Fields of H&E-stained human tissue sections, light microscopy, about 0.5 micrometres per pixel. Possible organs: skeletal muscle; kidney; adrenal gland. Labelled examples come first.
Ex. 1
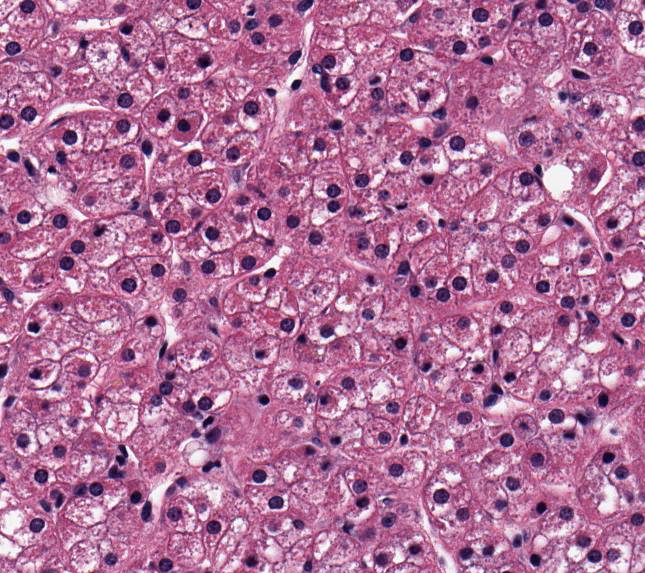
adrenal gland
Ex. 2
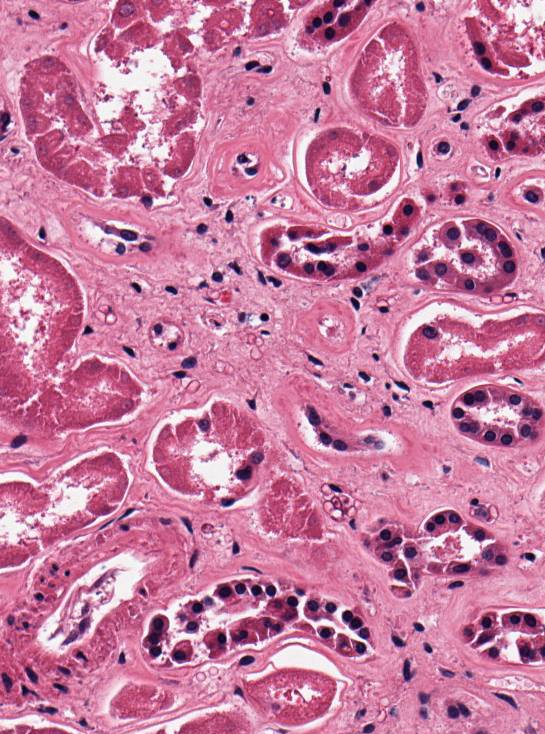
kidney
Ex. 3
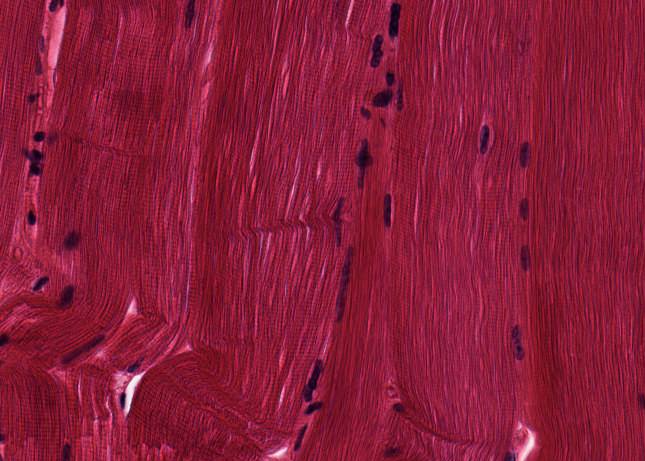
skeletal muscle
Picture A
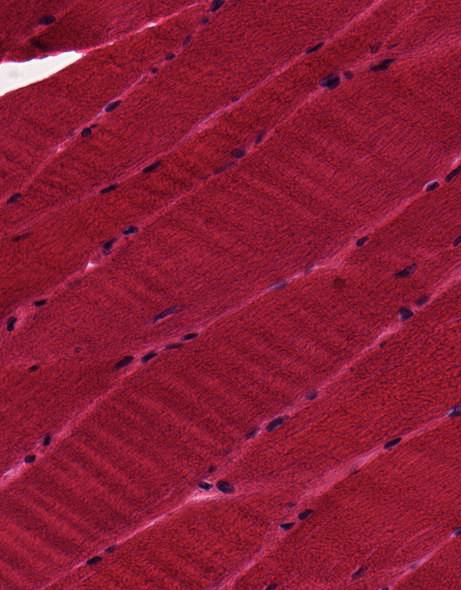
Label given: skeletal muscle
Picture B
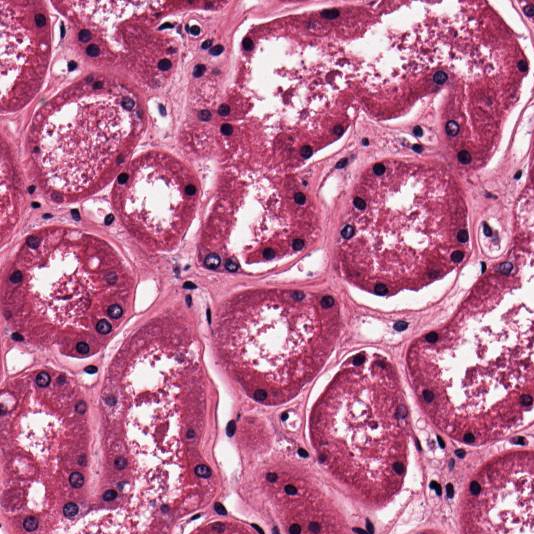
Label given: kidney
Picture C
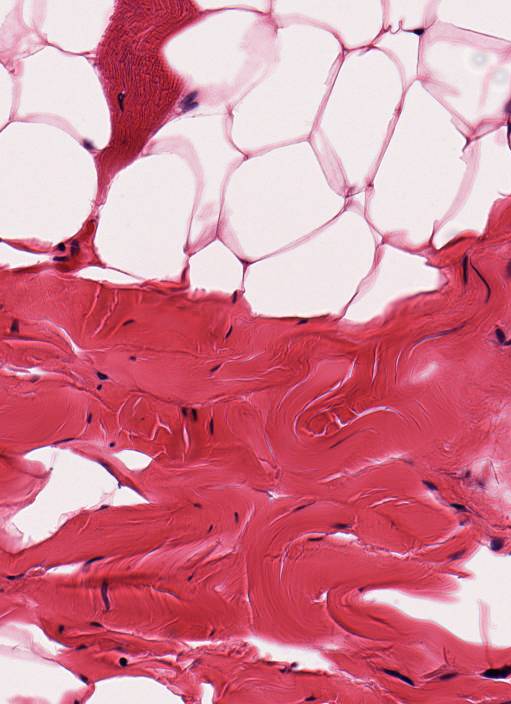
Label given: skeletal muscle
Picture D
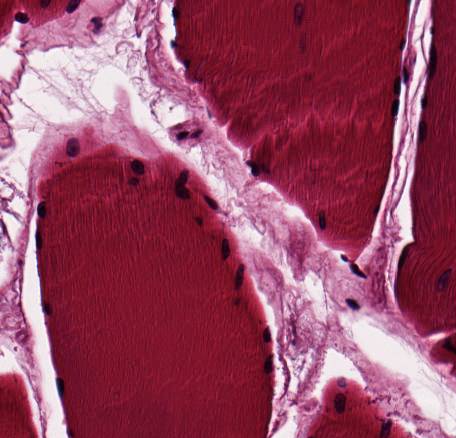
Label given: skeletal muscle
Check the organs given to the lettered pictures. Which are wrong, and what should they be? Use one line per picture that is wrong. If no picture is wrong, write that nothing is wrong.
Nothing to fix; every label fits.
